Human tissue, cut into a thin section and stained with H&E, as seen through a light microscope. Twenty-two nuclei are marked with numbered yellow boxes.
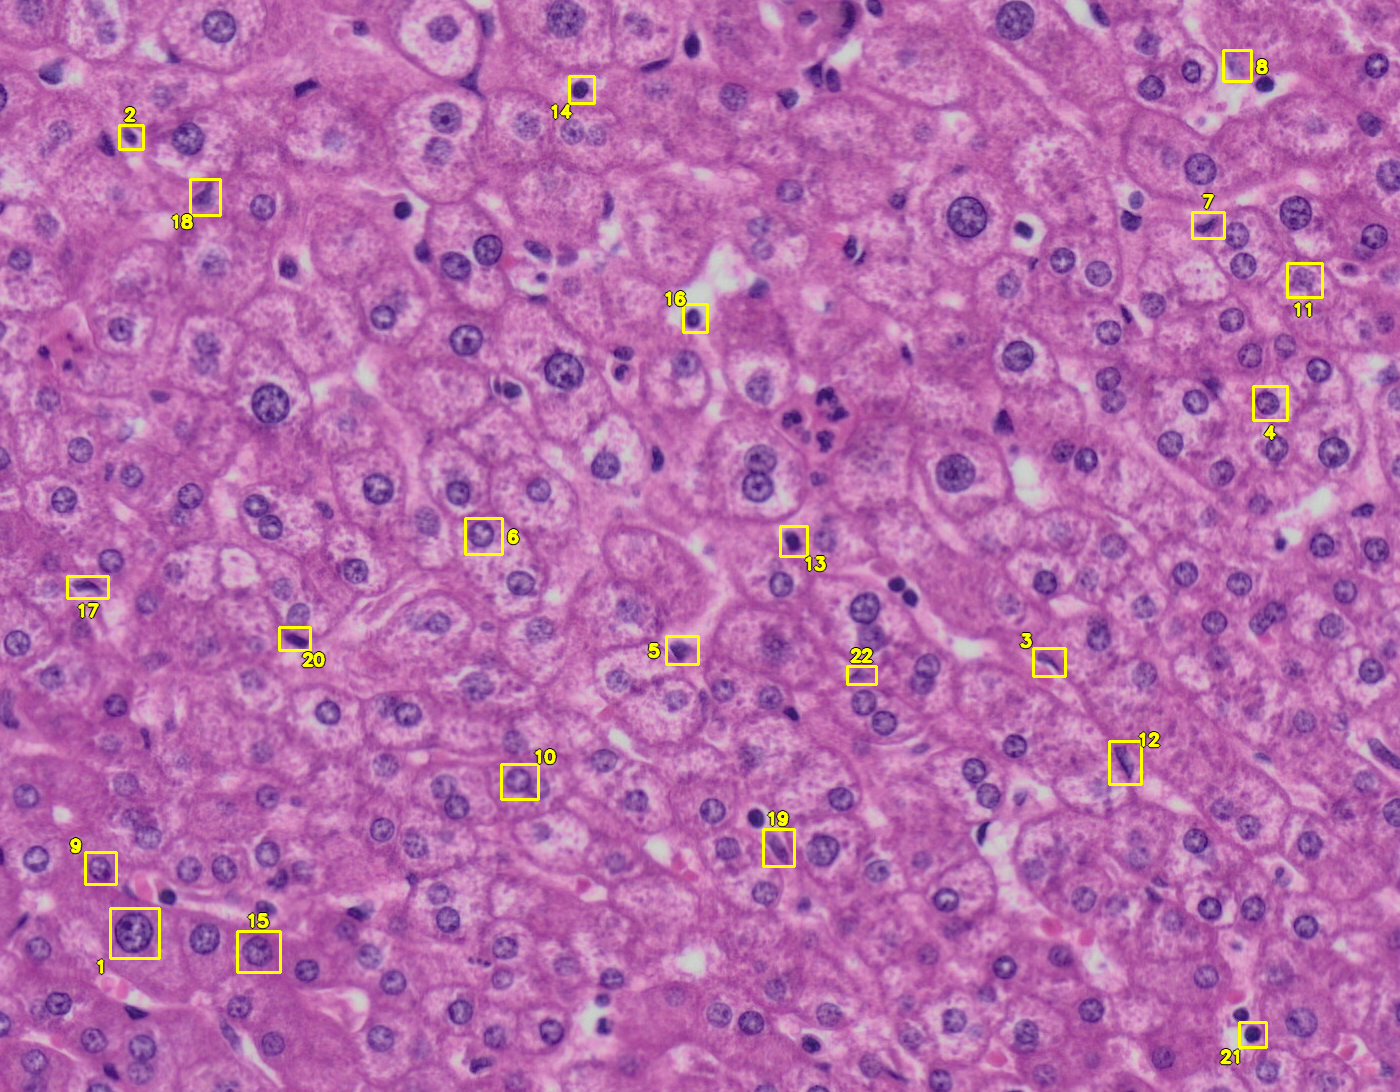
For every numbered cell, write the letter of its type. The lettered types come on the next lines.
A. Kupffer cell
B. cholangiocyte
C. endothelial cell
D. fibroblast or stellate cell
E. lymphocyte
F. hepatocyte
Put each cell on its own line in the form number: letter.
1: F
2: E
3: C
4: F
5: C
6: F
7: C
8: A
9: F
10: F
11: F
12: C
13: E
14: E
15: F
16: E
17: C
18: C
19: A
20: D
21: E
22: C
